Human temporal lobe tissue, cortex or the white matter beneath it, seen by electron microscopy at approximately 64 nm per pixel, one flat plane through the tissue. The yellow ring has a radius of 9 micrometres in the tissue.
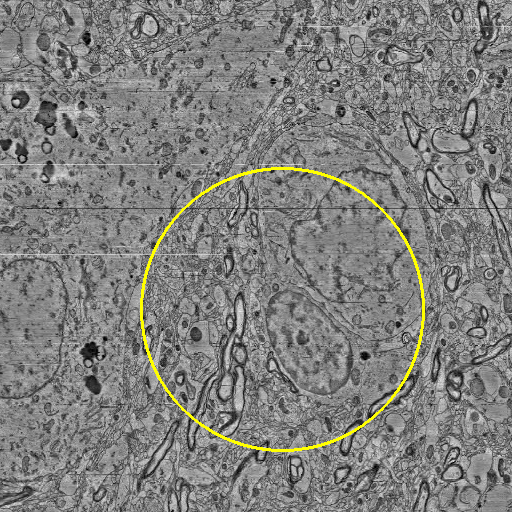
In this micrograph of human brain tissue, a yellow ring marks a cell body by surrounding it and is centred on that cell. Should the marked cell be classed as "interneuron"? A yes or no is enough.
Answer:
no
